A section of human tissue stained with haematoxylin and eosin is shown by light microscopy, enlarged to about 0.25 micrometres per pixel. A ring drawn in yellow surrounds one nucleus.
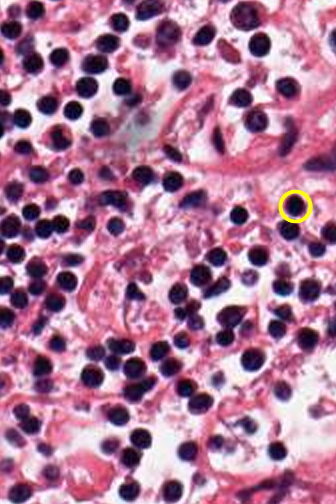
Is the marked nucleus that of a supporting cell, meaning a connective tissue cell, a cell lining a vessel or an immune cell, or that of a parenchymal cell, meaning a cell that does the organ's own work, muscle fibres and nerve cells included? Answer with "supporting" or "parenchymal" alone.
supporting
